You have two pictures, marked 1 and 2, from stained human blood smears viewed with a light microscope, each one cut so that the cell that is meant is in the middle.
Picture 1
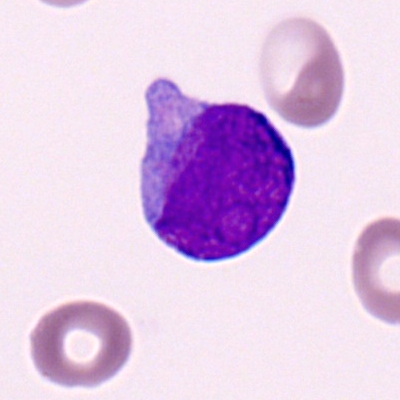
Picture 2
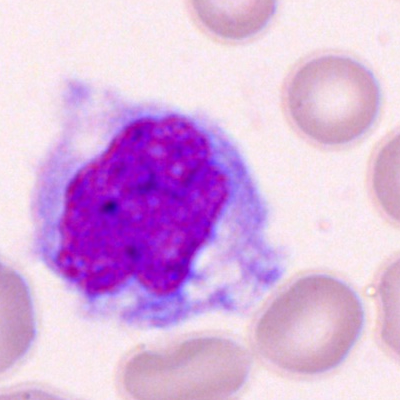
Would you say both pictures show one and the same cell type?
no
